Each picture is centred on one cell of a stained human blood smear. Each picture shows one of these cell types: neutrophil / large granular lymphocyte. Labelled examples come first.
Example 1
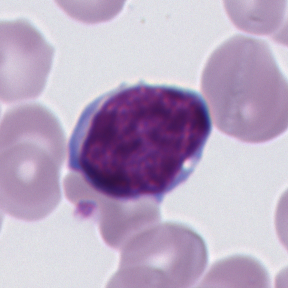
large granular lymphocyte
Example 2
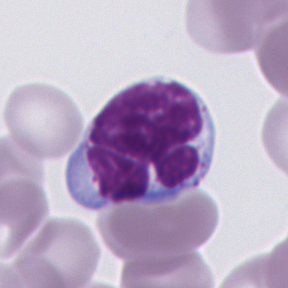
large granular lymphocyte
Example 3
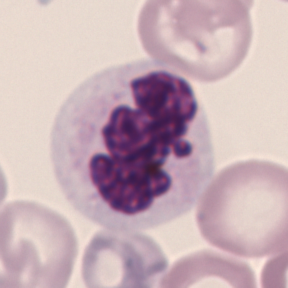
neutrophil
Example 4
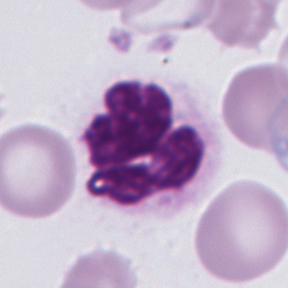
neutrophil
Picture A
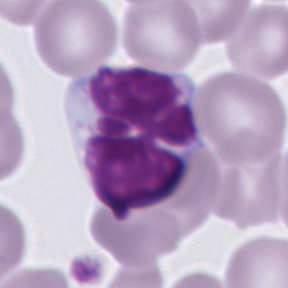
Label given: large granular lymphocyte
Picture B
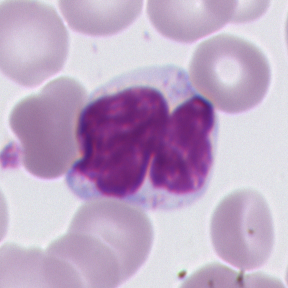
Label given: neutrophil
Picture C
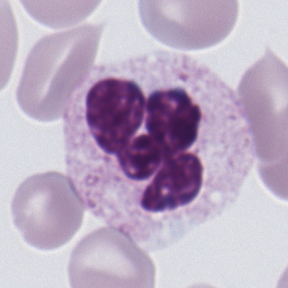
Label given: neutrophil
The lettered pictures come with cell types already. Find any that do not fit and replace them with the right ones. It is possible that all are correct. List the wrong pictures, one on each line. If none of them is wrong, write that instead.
Wrong: B (neutrophil); correct: large granular lymphocyte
